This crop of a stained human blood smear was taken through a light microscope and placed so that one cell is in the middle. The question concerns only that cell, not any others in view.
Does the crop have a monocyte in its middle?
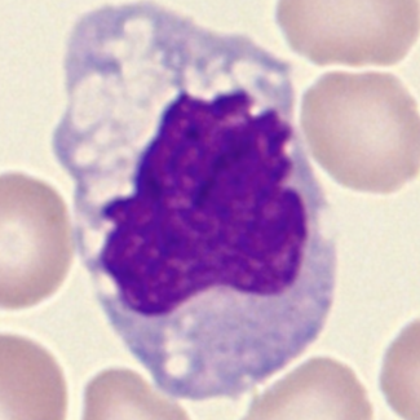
yes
